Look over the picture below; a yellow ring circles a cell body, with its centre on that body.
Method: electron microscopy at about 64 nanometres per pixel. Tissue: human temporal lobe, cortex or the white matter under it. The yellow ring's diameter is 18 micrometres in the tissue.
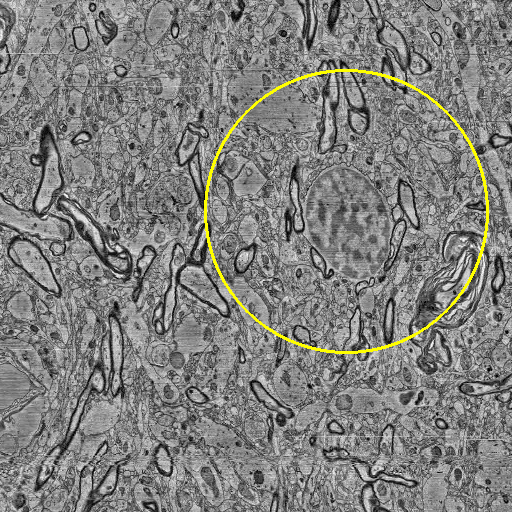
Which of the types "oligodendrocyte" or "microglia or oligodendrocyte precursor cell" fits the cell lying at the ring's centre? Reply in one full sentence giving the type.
The picture shows an oligodendrocyte at the centre of the yellow ring.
